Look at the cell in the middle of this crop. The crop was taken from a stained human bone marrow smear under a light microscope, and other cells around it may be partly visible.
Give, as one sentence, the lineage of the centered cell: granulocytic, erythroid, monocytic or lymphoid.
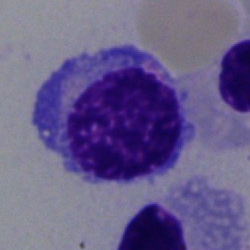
The middle cell is a constituent of the lymphoid lineage.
